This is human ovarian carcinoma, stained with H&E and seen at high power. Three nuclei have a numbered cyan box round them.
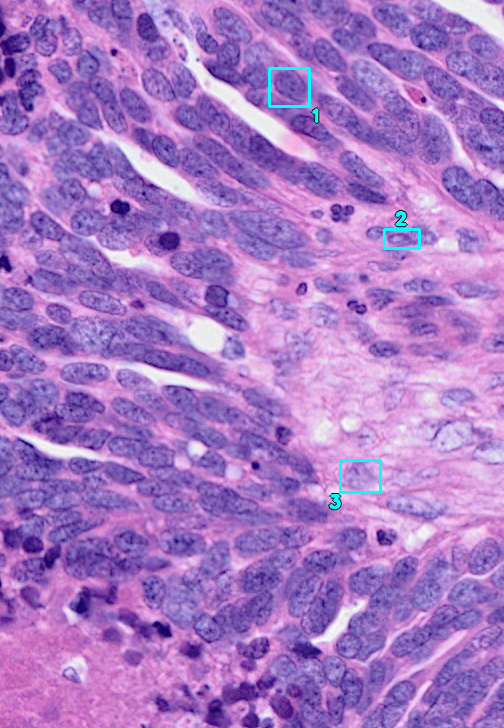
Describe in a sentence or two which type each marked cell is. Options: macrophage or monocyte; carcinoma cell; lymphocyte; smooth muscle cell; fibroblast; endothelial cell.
Cell 1 is a carcinoma cell. Cells 2 and 3 are fibroblasts.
